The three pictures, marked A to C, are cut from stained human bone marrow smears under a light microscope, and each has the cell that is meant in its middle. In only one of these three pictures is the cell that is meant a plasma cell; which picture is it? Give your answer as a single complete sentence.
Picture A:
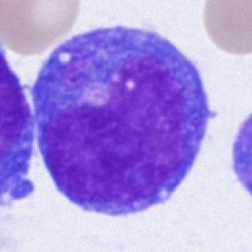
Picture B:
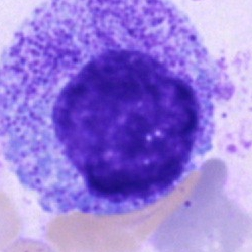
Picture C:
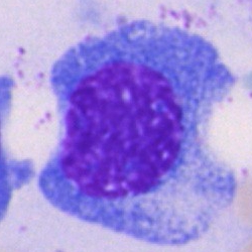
Picture C is the one that shows the plasma cell.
